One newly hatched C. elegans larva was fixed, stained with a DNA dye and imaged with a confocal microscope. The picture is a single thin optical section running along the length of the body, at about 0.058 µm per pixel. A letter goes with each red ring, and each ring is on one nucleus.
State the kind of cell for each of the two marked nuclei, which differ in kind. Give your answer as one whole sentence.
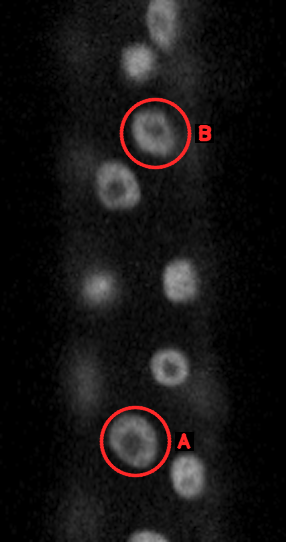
A is in a hypodermal cell (hyp) and B is in a seam cell.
